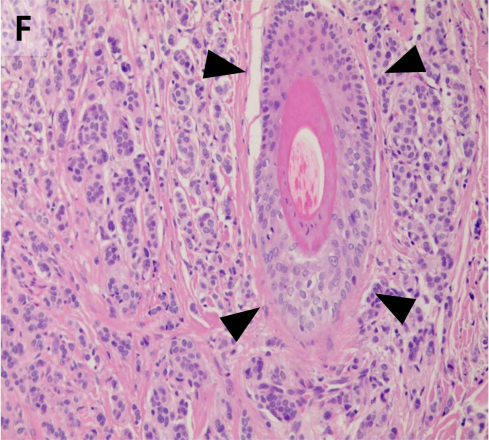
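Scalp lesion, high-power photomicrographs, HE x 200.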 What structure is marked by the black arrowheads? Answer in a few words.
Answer: Intact skin appendages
